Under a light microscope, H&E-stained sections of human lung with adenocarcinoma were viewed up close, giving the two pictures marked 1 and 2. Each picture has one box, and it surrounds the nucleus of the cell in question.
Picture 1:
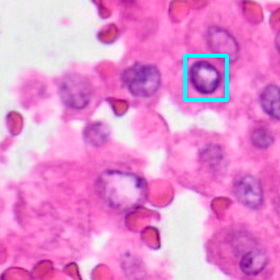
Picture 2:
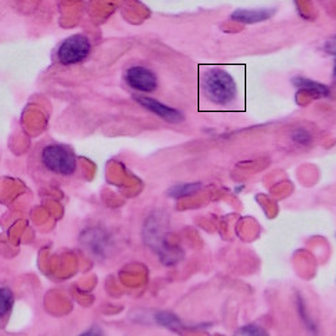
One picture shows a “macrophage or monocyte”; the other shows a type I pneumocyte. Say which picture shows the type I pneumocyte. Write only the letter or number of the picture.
2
